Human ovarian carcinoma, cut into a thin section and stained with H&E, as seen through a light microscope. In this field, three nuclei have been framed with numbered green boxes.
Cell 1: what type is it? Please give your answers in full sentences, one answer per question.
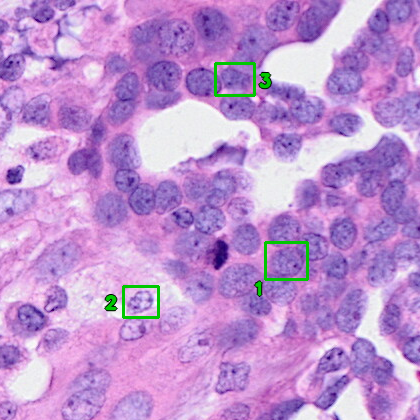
The cell that is numbered 1 is a carcinoma cell.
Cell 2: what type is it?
The cell numbered 2 represents a macrophage or monocyte.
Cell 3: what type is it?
The cell assigned the number 3 is a carcinoma cell.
